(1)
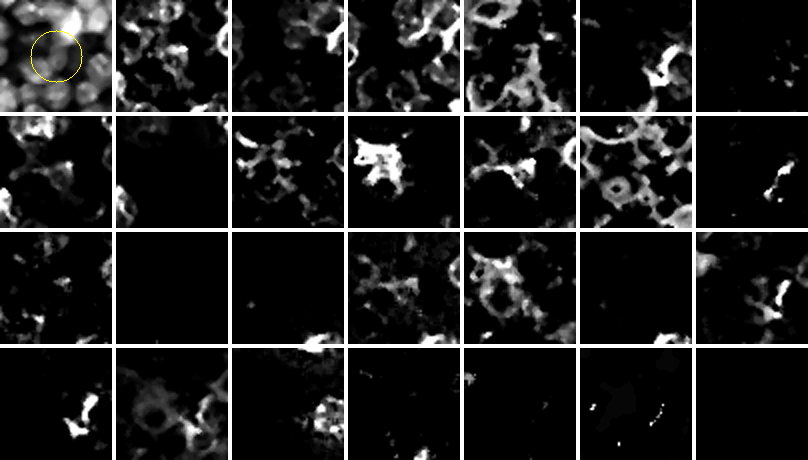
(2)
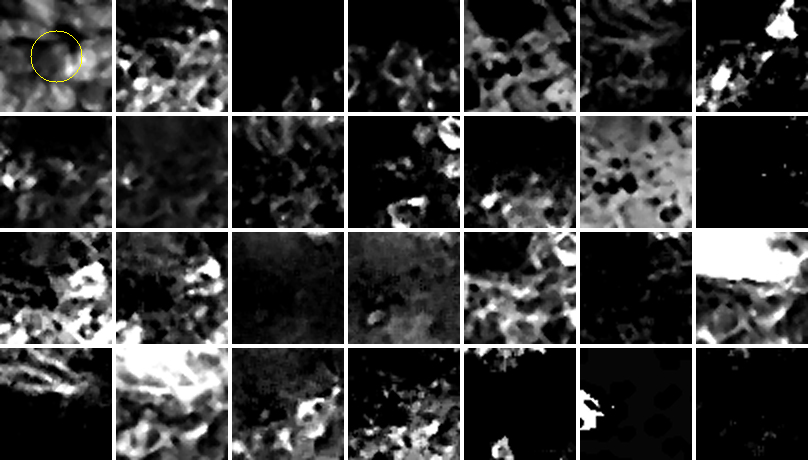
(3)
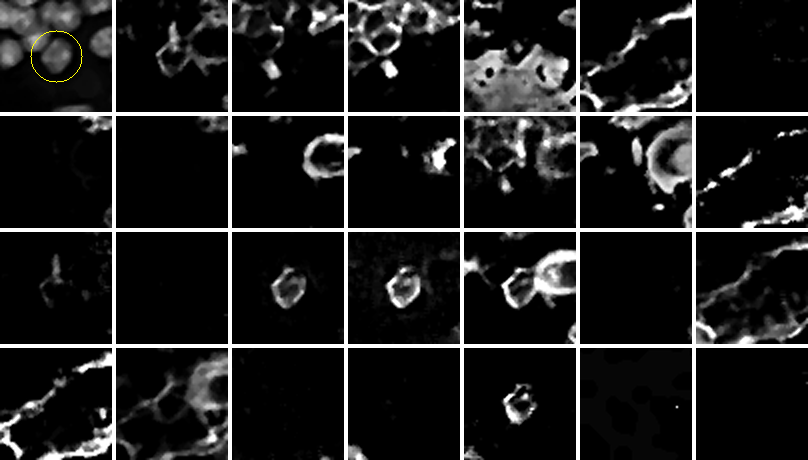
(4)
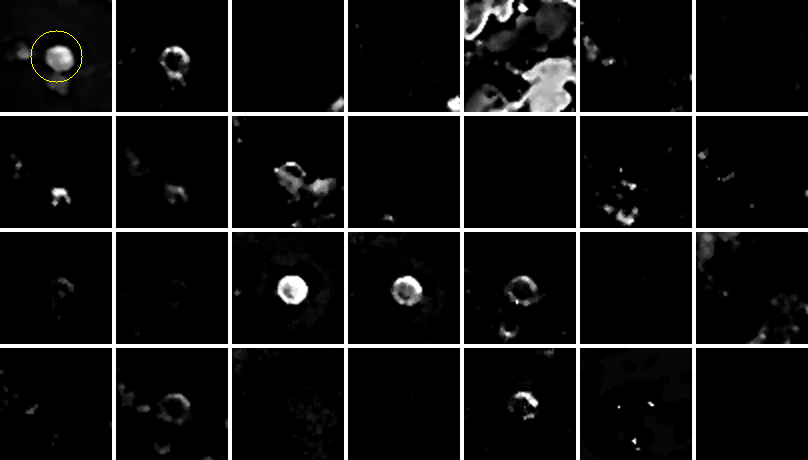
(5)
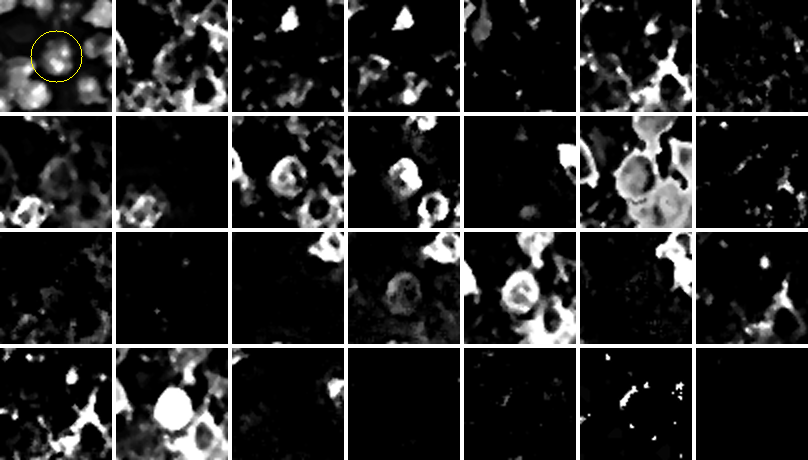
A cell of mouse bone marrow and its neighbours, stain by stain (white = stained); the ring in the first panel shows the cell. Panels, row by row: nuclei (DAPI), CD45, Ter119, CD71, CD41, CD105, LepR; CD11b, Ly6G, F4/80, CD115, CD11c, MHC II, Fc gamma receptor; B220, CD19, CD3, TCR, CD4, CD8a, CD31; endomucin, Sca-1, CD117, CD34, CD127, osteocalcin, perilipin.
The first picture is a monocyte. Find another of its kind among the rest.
Picture 5.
